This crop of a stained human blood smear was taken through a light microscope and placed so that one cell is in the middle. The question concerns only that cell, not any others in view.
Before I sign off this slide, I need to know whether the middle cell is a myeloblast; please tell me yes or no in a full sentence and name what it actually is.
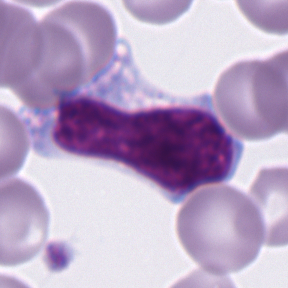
No, what is seen at the centre is a typical lymphocyte instead of a myeloblast.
